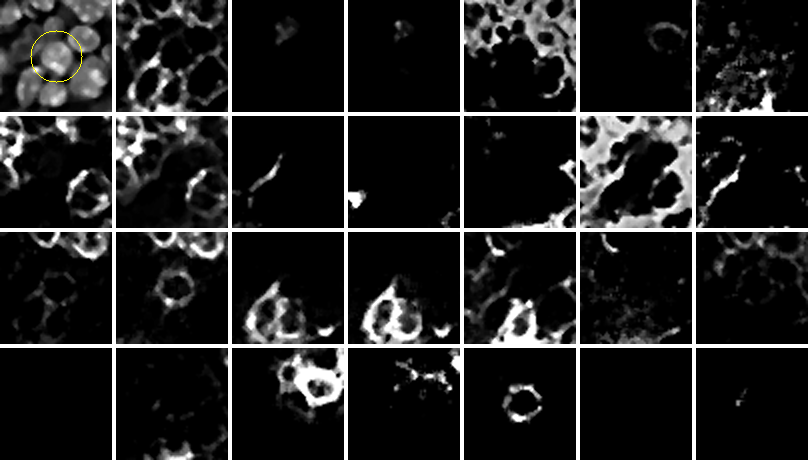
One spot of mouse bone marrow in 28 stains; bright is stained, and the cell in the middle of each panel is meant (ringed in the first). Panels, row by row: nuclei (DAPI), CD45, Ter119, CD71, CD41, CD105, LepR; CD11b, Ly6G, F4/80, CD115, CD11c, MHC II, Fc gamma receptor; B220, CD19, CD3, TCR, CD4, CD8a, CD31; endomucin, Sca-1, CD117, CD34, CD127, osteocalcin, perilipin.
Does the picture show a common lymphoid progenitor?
Yes.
